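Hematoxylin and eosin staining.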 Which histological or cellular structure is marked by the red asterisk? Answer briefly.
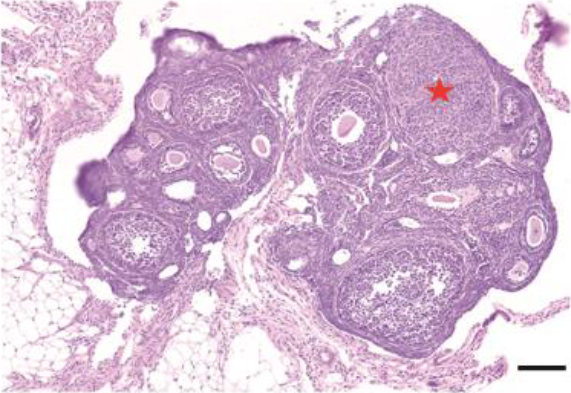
Corpora lutea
